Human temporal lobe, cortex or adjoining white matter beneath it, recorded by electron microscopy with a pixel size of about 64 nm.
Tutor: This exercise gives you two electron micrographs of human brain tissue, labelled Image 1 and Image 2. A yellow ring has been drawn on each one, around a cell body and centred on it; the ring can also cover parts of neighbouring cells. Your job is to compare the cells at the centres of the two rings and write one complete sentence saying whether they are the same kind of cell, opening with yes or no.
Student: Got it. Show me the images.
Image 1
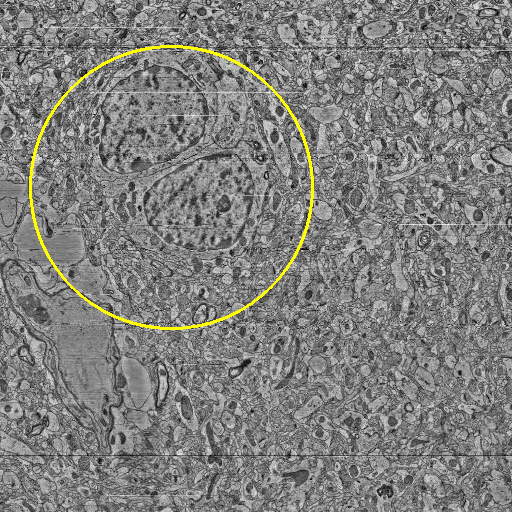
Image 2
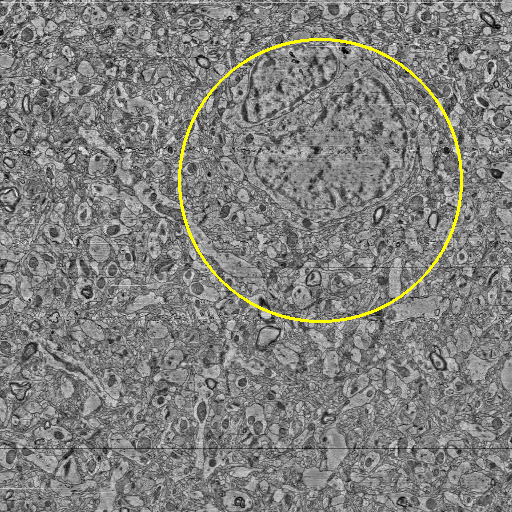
No, the two cells belong to two kinds.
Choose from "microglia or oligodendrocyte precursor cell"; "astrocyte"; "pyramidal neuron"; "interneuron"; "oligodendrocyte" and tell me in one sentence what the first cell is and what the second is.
What the first ring is centred on is a microglial cell or oligodendrocyte precursor cell; what the second ring is centred on is an interneuron.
